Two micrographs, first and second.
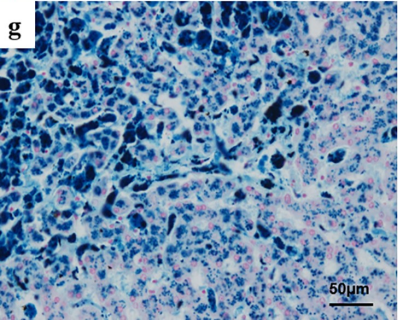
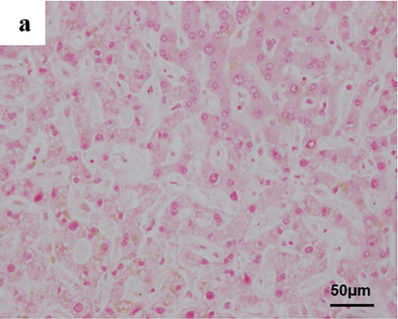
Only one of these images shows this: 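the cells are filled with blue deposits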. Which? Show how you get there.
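Second image: the tissue is pink with no blue deposits. So: the first image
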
